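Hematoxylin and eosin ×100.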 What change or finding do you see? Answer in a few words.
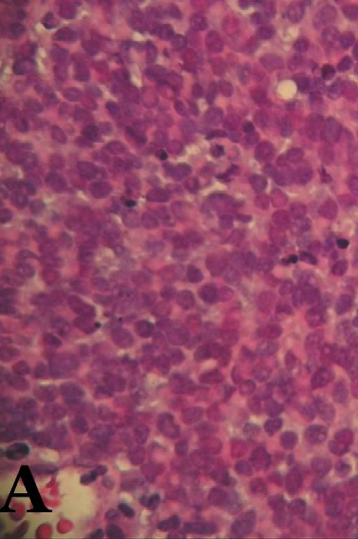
Tumor composed of monotonous round cells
